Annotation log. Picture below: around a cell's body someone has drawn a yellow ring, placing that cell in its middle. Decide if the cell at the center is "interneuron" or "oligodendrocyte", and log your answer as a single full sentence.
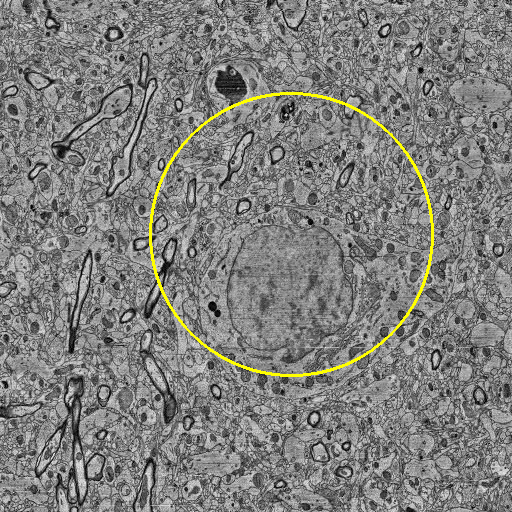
My entry records an interneuron as the cell sitting at the center of the yellow ring.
